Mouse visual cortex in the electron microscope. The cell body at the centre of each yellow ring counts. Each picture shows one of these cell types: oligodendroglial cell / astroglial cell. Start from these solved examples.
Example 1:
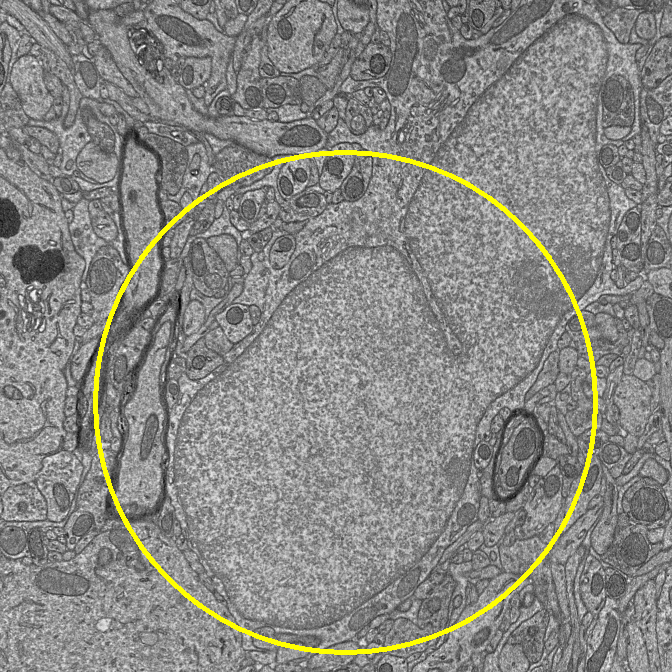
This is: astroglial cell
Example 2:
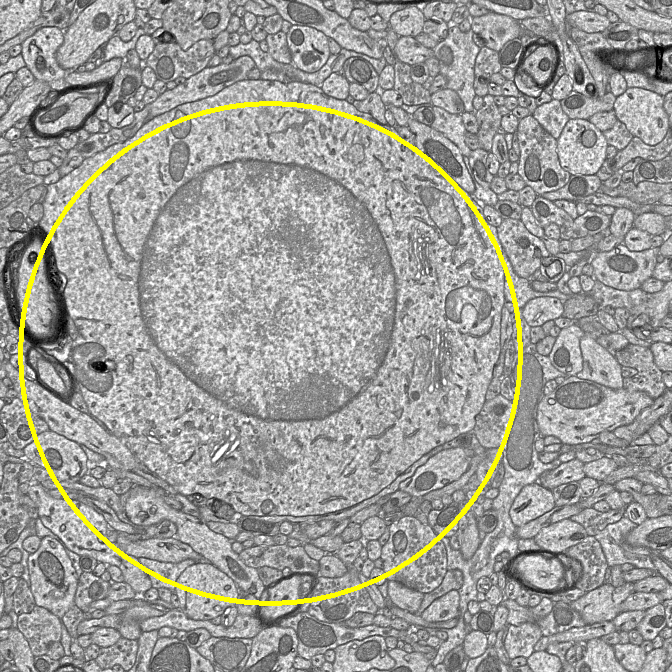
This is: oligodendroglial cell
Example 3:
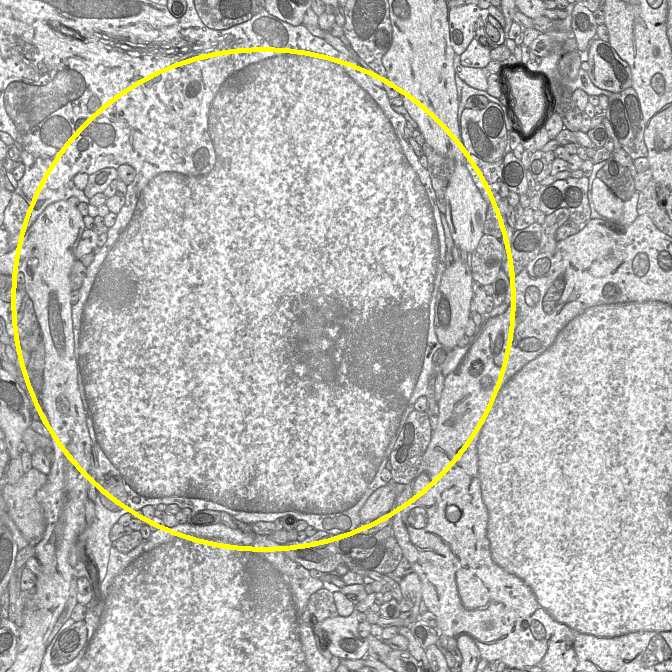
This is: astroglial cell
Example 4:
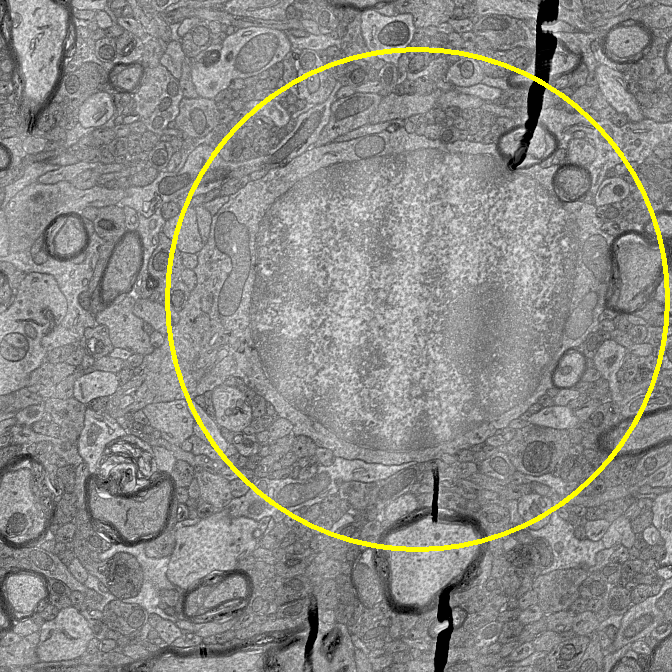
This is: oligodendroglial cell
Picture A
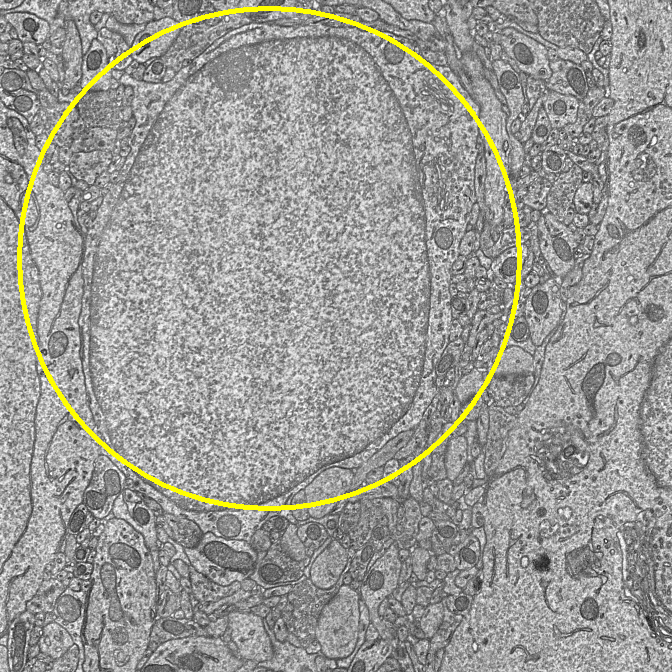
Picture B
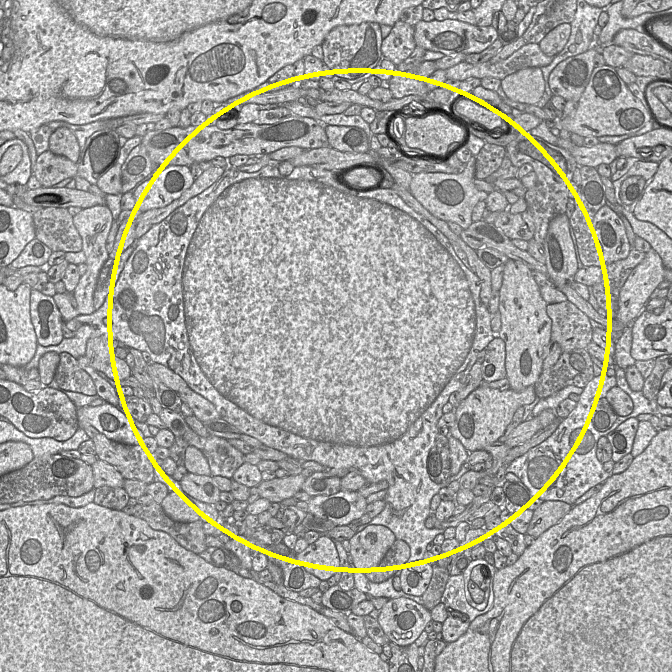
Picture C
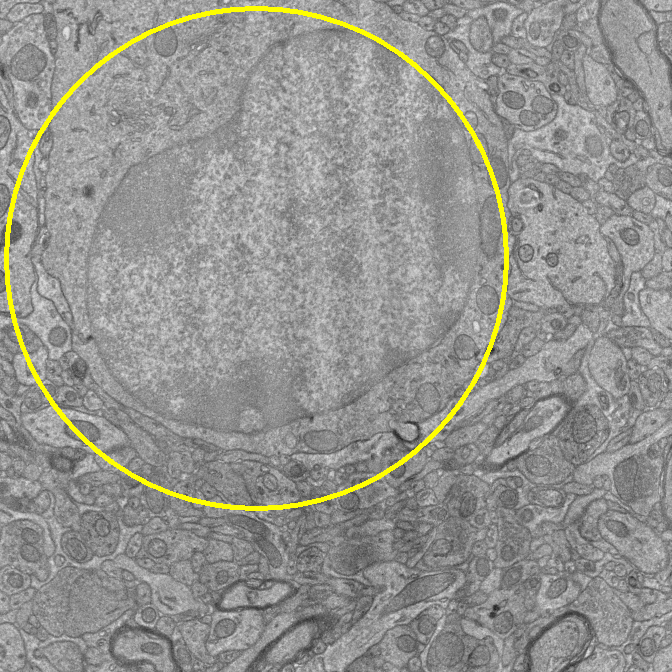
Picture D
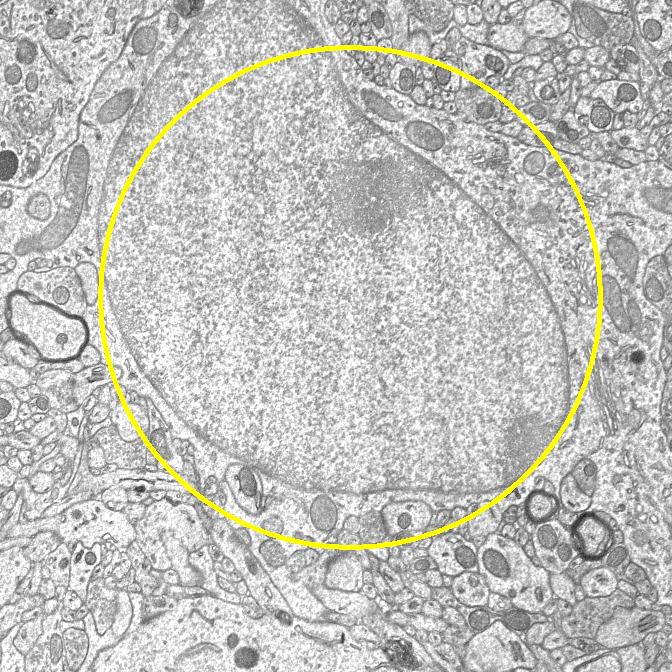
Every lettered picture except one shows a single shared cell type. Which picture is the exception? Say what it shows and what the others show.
C (oligodendroglial cell) is the exception; every other picture is astroglial cell.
